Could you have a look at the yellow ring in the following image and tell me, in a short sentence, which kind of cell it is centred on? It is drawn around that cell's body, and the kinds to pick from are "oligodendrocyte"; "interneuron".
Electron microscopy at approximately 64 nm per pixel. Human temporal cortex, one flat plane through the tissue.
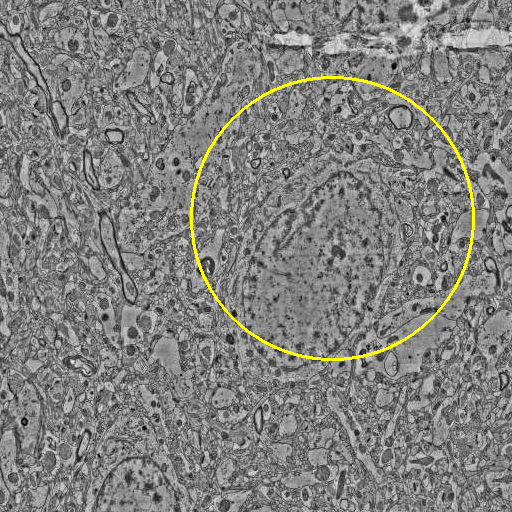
The ring is centred on the body of an interneuron.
